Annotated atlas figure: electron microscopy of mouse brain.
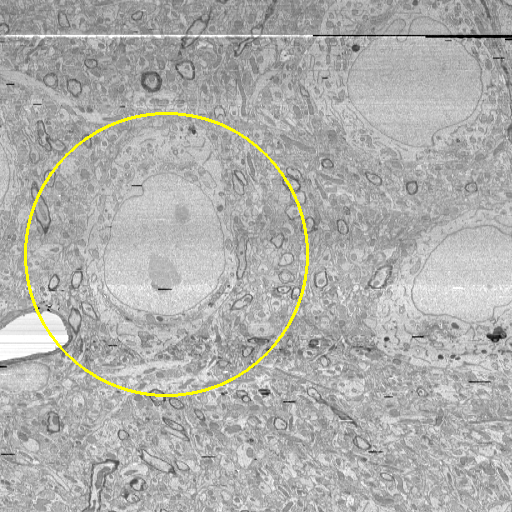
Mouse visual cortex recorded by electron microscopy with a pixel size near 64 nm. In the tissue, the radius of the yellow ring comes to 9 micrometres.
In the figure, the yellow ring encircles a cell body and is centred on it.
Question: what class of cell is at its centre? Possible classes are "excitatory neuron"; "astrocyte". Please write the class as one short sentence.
The yellow ring is drawn around an excitatory neuron.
